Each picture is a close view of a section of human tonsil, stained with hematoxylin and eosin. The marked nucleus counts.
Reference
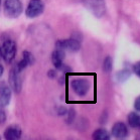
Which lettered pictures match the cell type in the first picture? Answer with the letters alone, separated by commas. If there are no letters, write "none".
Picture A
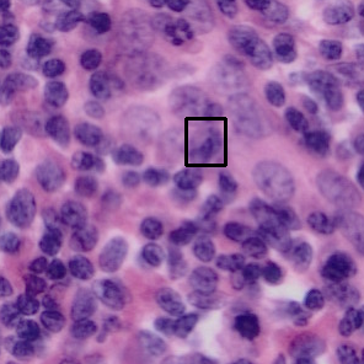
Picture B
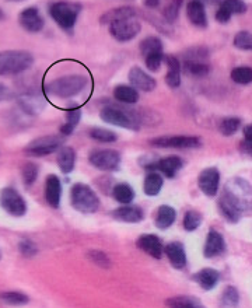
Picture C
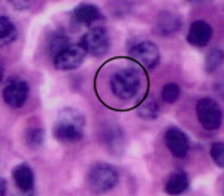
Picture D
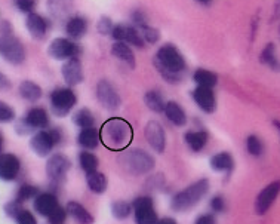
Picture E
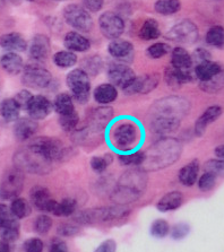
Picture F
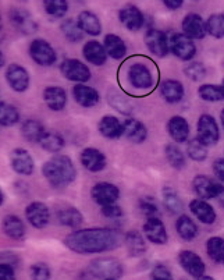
A, B, D, E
